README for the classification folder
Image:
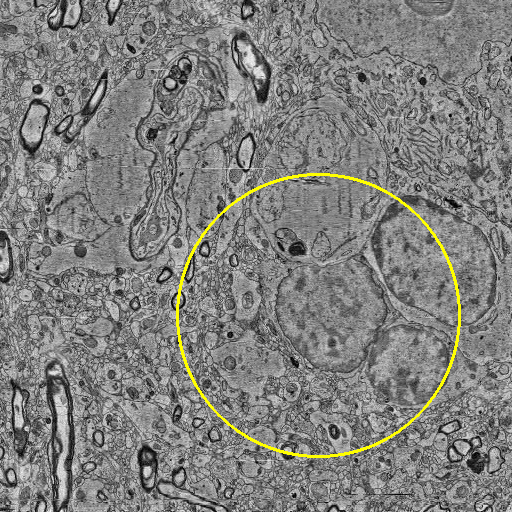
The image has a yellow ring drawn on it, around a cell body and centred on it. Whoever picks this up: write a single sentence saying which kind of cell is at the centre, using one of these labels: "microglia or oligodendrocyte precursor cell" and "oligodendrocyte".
This cell body is that of an oligodendrocyte.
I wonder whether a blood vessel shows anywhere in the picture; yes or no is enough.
Yes, one appears.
